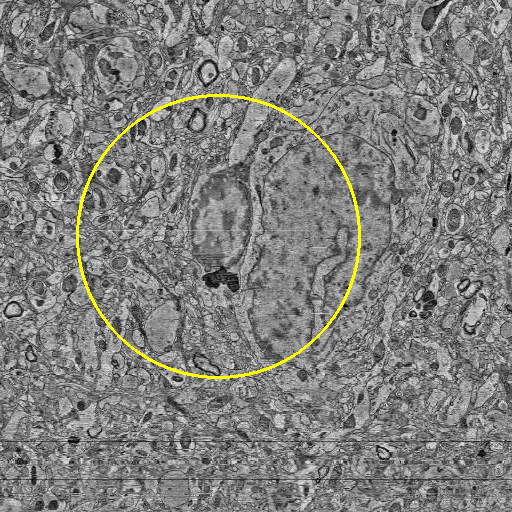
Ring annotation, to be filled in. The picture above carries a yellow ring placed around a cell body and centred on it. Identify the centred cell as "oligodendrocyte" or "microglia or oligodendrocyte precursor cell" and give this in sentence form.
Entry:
The cell in the middle of the ring is an oligodendrocyte.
